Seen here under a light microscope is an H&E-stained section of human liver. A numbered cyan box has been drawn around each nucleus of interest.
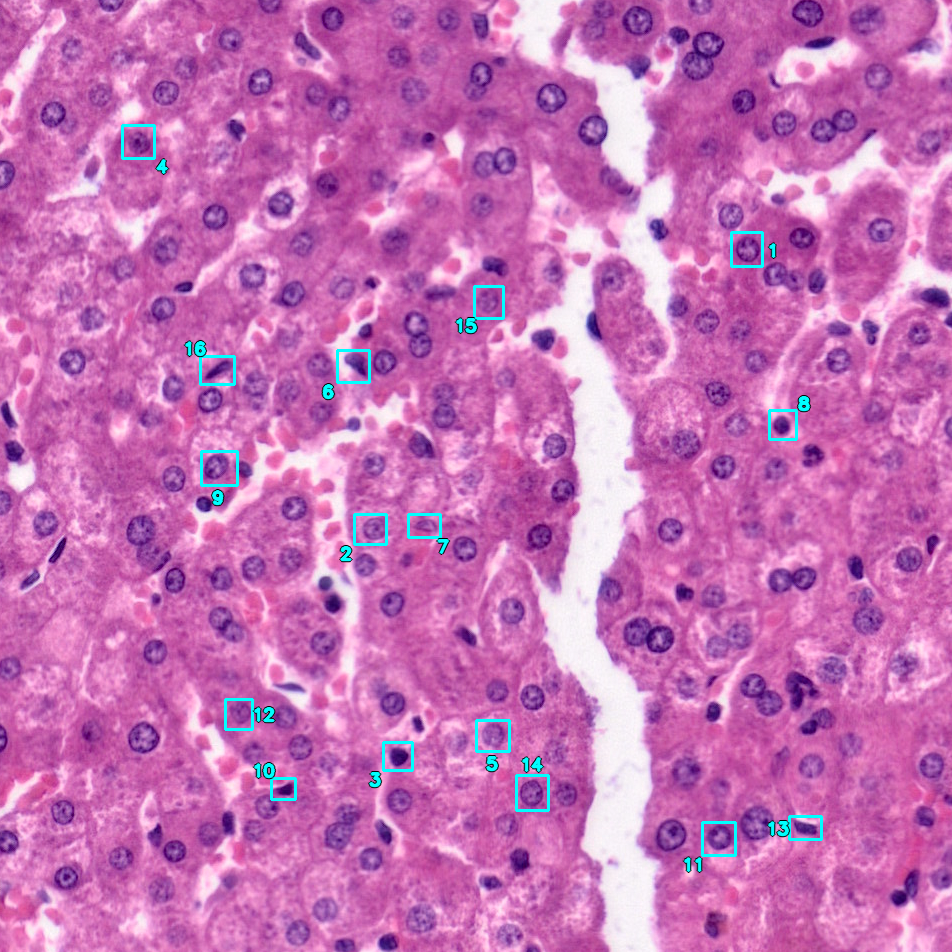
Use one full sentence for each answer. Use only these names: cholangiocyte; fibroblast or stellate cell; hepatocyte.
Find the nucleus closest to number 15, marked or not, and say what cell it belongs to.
Closest to number 15 lies the nucleus of a fibroblast or stellate cell.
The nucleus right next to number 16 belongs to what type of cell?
The cell nearest to number 16 is a hepatocyte.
